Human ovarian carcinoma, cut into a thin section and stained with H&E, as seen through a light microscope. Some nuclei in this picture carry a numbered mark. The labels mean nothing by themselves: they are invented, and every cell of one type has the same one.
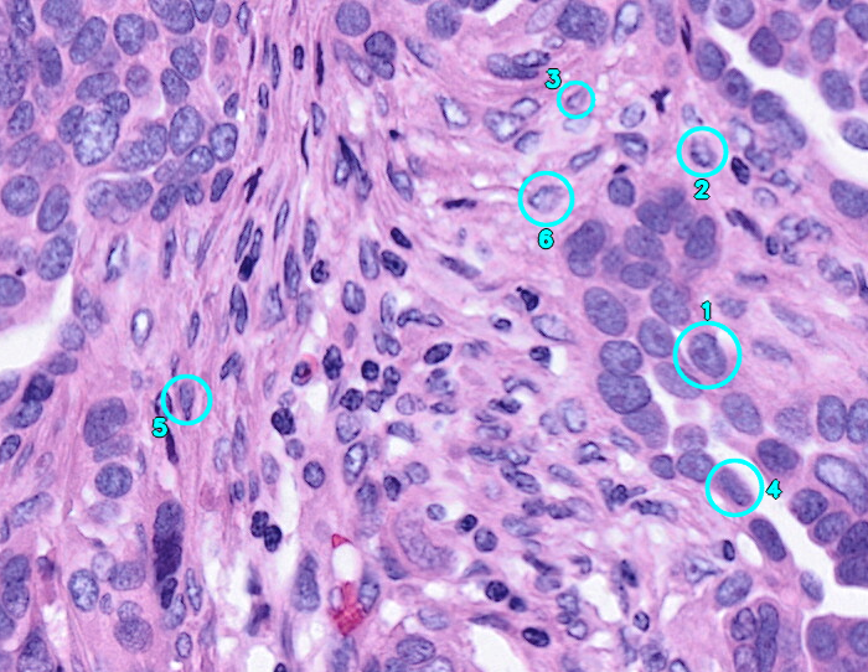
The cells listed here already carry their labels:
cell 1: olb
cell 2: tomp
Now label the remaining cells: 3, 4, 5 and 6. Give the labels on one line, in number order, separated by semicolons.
tomp; olb; tomp; tomp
